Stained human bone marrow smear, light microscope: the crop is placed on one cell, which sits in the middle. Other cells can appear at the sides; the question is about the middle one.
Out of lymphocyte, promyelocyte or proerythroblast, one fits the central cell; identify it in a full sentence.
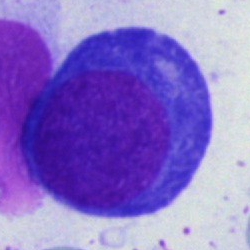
This crop's central cell is a proerythroblast.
